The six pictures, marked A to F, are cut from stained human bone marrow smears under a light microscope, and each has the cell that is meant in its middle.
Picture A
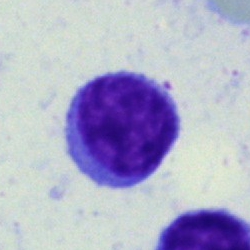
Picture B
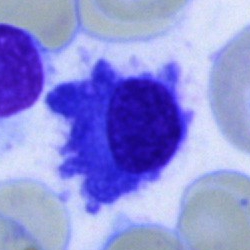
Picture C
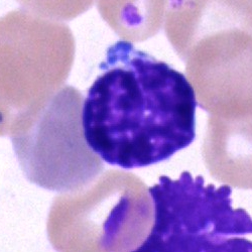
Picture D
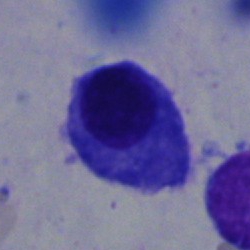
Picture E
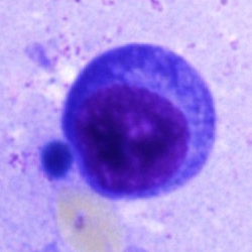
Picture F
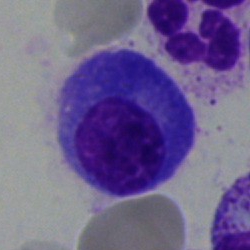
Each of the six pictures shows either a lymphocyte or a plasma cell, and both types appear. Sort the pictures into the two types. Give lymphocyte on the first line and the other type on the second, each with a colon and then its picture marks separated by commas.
lymphocyte: A, C
plasma cell: B, D, E, F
